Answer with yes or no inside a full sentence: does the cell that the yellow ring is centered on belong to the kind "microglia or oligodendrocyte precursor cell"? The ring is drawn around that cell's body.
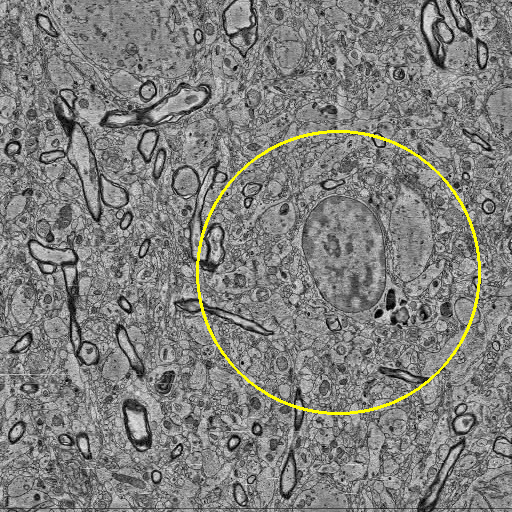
Yes, that kind describes the cell the yellow ring is centered on in the picture.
